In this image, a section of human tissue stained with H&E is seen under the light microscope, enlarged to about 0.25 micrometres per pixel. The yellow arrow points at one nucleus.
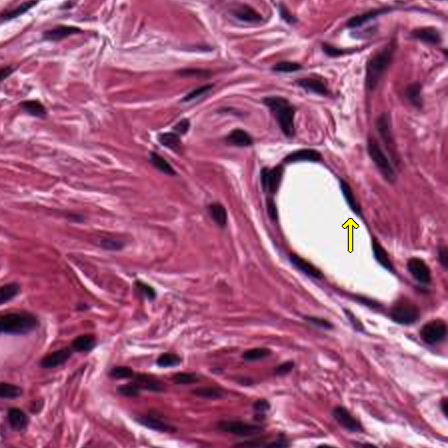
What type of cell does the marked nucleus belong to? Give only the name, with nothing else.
endothelial cell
